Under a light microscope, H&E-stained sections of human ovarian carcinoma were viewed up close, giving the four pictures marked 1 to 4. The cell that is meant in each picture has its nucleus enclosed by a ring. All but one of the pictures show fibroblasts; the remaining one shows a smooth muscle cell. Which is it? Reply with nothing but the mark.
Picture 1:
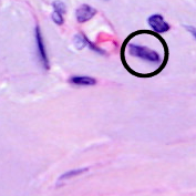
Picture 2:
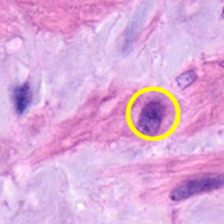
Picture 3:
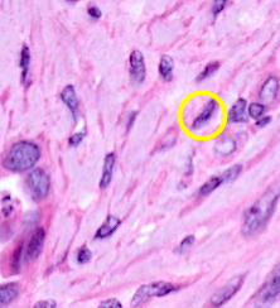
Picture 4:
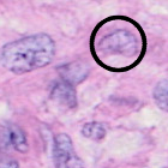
2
